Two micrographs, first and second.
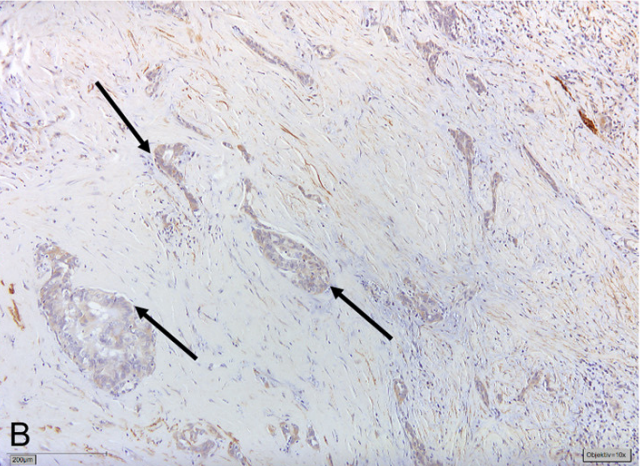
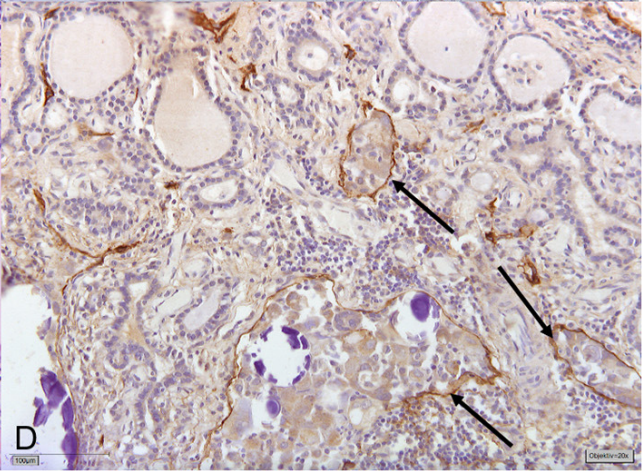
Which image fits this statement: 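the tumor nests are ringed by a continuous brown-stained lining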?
the second image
